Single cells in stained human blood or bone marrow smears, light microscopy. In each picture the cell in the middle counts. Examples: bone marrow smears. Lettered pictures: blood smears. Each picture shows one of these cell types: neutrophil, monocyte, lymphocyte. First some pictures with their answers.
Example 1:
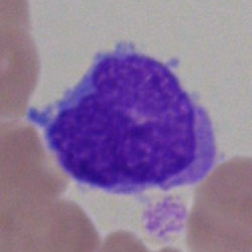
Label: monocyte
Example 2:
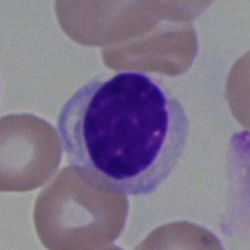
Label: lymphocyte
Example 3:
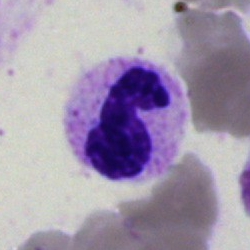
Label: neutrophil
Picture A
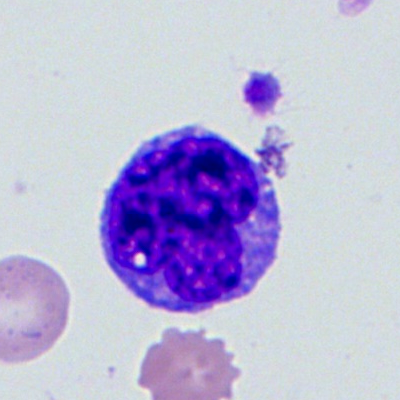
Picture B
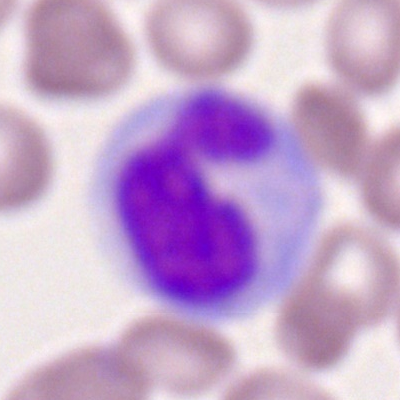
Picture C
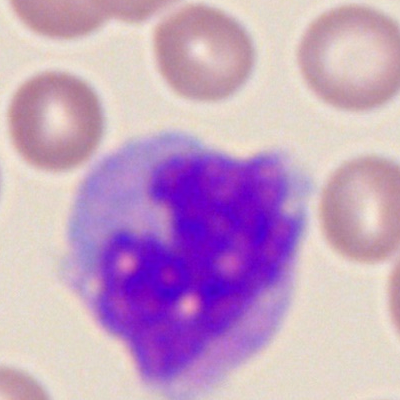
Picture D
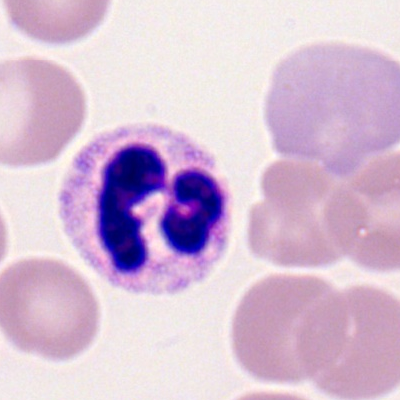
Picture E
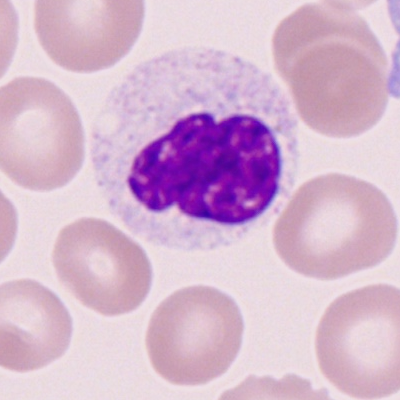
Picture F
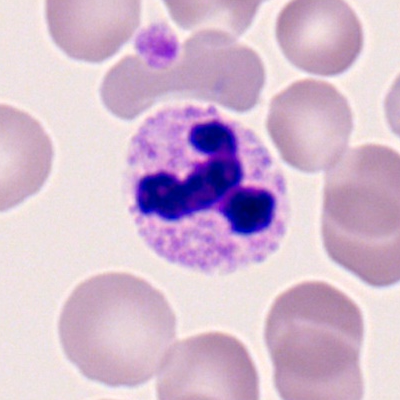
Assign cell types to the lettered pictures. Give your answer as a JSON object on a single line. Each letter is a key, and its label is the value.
{"A": "monocyte", "B": "monocyte", "C": "monocyte", "D": "neutrophil", "E": "neutrophil", "F": "neutrophil"}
